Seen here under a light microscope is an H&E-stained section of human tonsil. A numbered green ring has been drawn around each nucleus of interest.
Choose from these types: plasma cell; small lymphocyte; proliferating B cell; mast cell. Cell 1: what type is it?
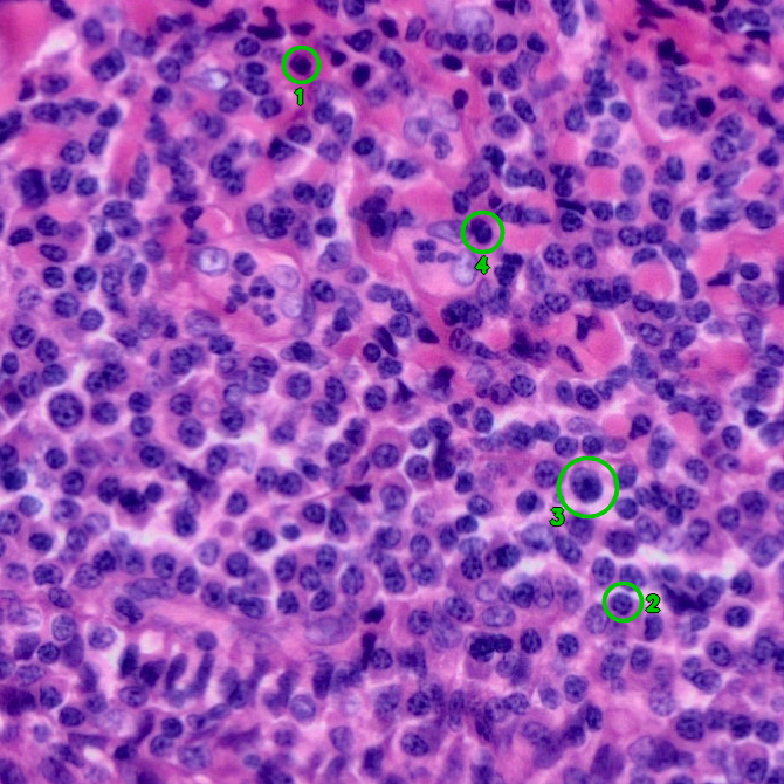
plasma cell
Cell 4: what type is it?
plasma cell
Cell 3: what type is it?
proliferating B cell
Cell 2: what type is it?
plasma cell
